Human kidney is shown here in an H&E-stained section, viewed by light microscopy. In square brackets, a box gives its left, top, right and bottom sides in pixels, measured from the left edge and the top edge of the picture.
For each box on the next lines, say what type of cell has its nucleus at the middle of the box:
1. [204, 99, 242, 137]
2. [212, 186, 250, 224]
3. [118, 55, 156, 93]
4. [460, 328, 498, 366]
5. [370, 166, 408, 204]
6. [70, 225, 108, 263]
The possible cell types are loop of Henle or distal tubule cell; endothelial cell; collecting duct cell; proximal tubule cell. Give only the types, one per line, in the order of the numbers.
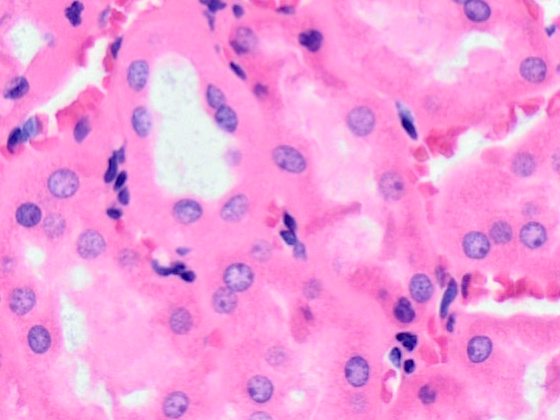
loop of Henle or distal tubule cell
loop of Henle or distal tubule cell
loop of Henle or distal tubule cell
proximal tubule cell
proximal tubule cell
proximal tubule cell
